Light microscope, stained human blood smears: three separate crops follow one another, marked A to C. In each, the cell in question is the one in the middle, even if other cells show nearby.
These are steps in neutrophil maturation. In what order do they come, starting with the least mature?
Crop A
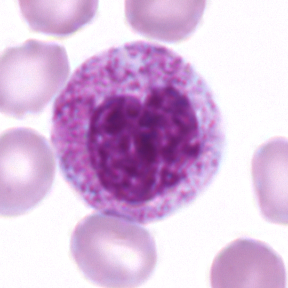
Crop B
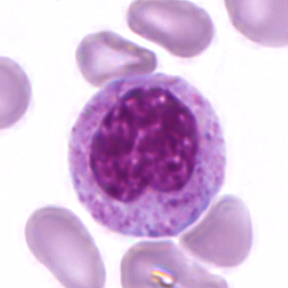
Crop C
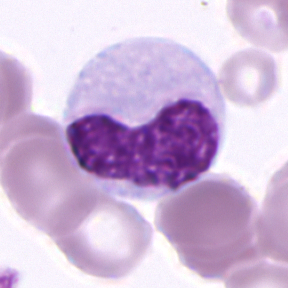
B, C, A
